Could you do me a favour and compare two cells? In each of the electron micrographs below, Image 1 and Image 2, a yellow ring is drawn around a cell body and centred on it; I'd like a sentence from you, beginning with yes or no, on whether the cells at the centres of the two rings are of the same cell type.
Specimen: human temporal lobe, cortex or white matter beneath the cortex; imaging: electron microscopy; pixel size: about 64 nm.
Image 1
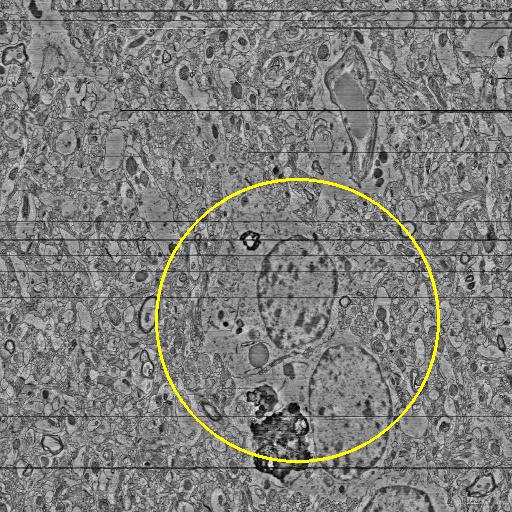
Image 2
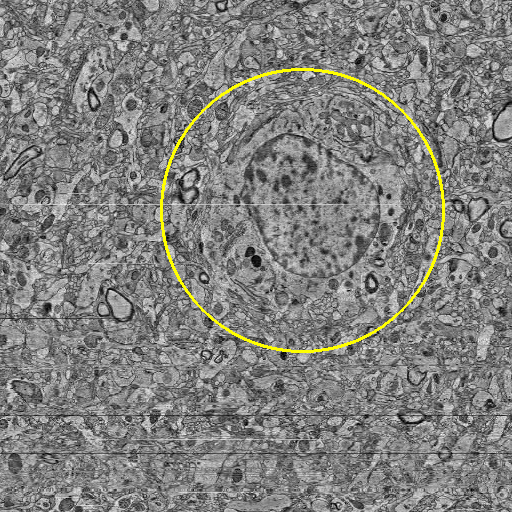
Yes, the two cells are of the same cell type.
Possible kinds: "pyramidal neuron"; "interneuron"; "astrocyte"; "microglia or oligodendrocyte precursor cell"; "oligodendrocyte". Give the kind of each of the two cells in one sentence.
In each picture the ringed cell is an astrocyte.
